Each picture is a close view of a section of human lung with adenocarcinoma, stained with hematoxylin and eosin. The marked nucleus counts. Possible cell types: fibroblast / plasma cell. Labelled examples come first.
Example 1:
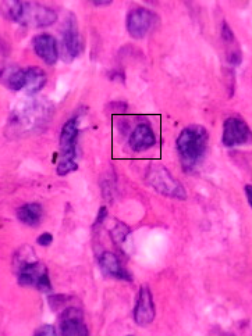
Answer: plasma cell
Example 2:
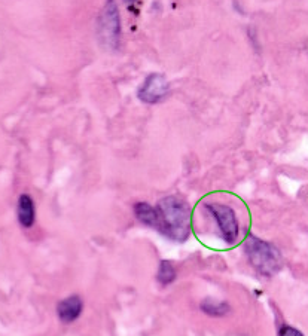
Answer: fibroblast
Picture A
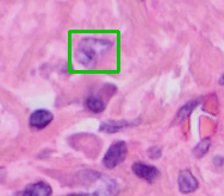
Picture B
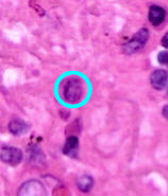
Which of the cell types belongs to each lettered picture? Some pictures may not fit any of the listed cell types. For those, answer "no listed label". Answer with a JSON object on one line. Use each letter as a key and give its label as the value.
{"A": "fibroblast", "B": "plasma cell"}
